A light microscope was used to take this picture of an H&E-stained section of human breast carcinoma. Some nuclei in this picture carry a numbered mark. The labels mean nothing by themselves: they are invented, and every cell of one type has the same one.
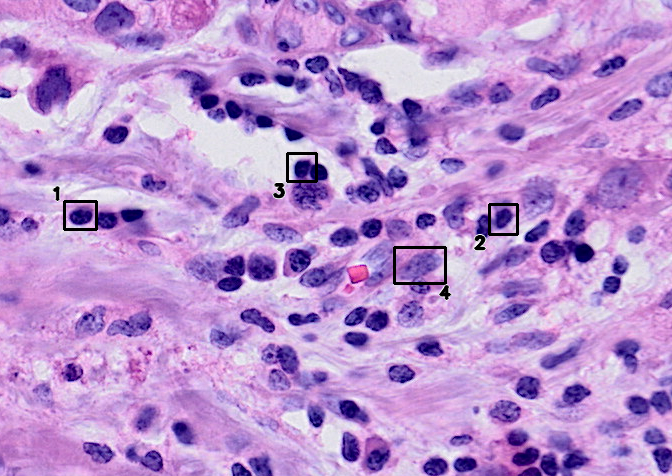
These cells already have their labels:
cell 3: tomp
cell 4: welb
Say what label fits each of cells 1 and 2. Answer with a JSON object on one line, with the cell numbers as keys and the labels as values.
{"1": "tomp", "2": "tomp"}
